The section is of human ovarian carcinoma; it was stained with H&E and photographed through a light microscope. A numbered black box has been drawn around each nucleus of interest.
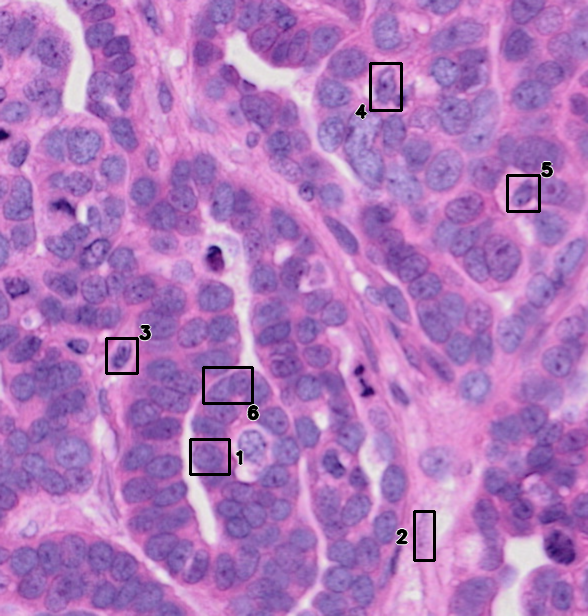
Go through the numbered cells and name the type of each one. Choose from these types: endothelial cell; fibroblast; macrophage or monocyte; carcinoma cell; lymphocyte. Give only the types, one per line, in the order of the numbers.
carcinoma cell
fibroblast
macrophage or monocyte
macrophage or monocyte
macrophage or monocyte
carcinoma cell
